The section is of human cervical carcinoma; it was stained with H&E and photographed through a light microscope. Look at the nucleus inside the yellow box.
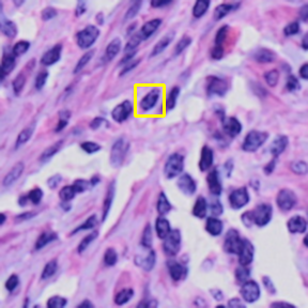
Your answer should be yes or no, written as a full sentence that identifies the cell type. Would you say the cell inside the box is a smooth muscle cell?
No, sorry, but the cell inside the box is a lymphocyte and not a smooth muscle cell.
